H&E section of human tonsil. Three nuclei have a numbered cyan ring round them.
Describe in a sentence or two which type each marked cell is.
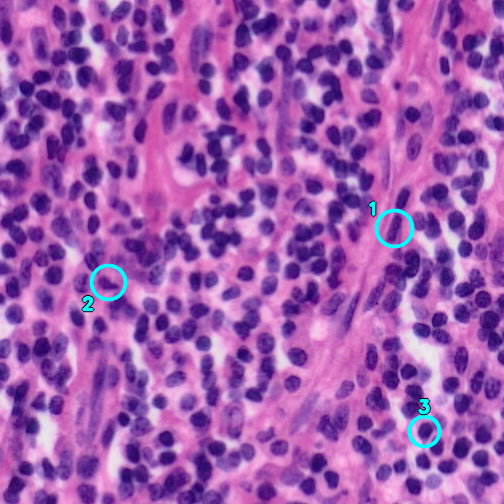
Cells 1 and 2 are endothelial cells. Cell 3 is a small lymphocyte.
